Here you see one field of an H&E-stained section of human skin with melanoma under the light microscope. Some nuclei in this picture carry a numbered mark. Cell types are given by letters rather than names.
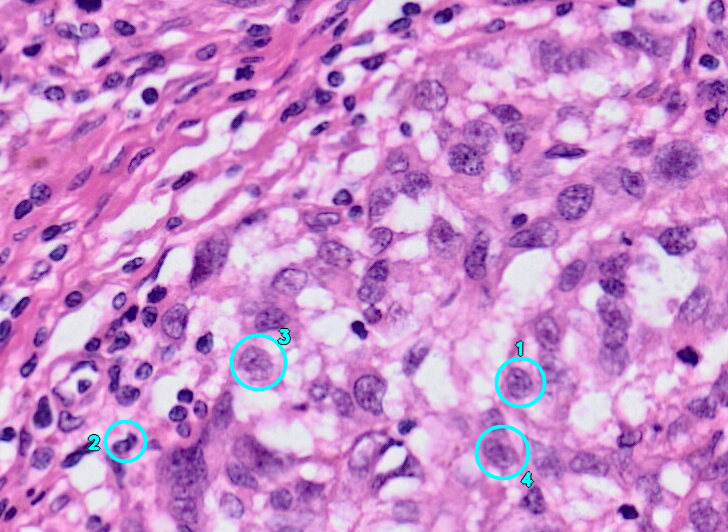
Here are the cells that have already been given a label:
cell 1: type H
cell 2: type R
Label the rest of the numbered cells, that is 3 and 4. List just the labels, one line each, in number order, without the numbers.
type H
type H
